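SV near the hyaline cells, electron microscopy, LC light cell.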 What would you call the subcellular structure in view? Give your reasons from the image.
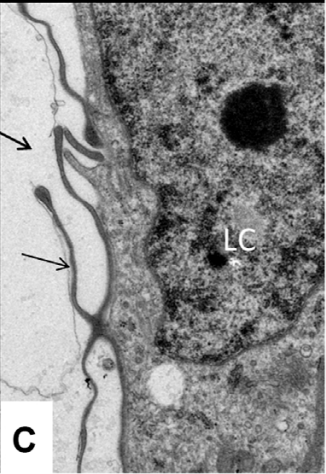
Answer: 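Prominent nucleolus. A large, round, very dark body lies within the nucleus. The surrounding nucleoplasm is paler and finely granular.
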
